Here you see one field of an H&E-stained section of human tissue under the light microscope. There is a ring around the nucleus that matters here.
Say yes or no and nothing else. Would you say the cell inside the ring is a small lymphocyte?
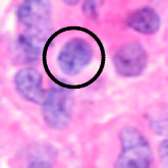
no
